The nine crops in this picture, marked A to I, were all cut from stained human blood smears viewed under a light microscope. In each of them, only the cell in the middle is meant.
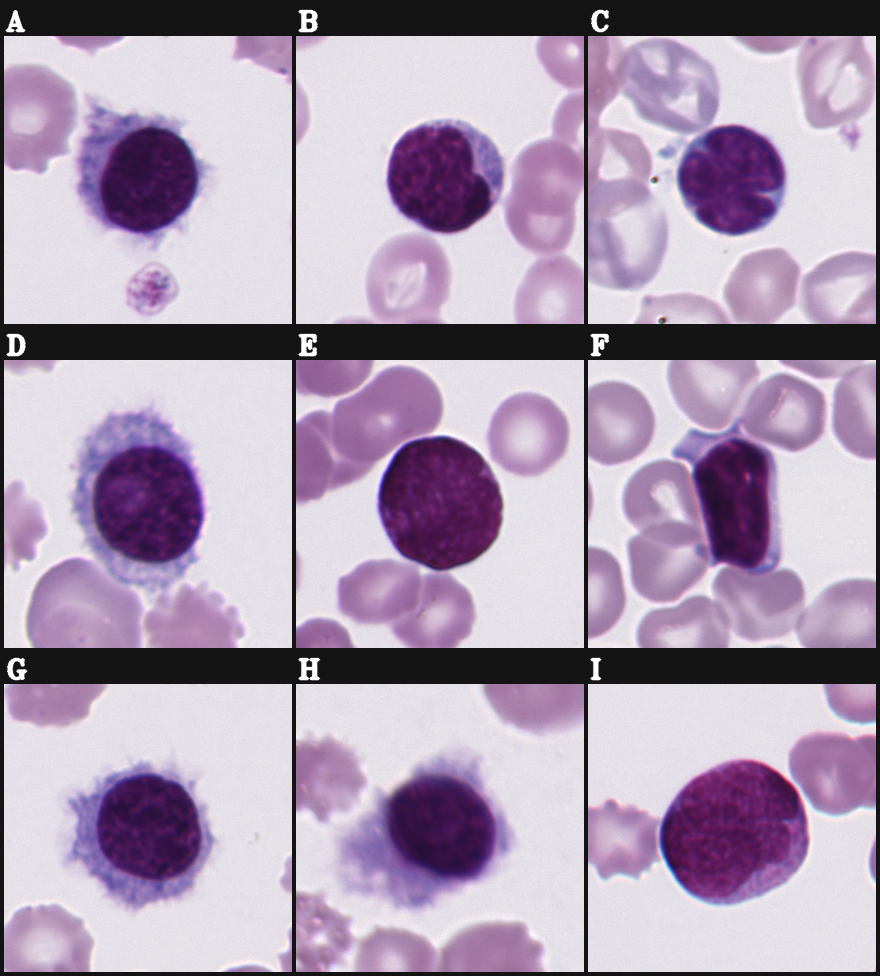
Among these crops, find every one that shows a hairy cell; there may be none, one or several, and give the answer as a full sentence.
The cells of interest in crops A, D, G and H are hairy cells.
